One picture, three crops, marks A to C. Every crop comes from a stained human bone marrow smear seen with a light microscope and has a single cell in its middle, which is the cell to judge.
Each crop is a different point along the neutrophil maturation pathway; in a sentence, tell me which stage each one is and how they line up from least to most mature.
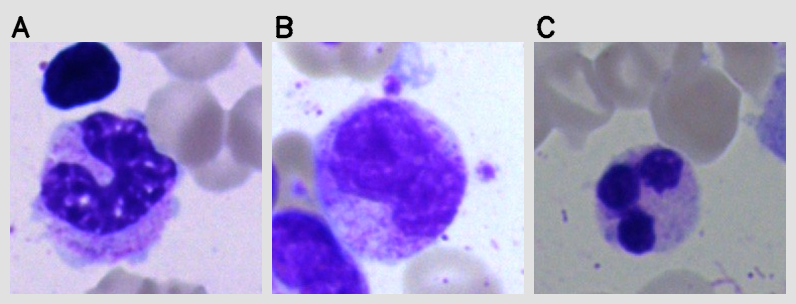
By increasing maturity, the order is crop B (a metamyelocyte), crop A (a band neutrophil) and crop C (a segmented neutrophil).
